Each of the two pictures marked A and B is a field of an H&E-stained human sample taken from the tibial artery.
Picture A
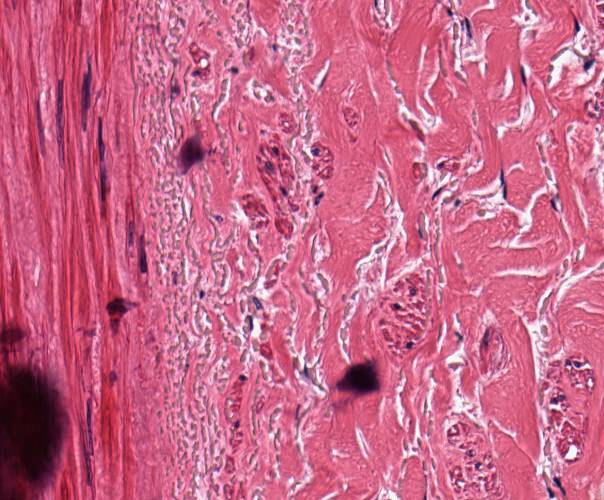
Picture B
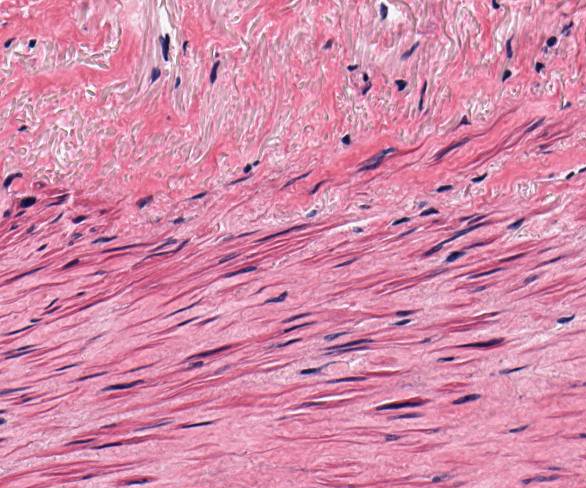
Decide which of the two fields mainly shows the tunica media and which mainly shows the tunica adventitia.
A: tunica adventitia
B: tunica media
